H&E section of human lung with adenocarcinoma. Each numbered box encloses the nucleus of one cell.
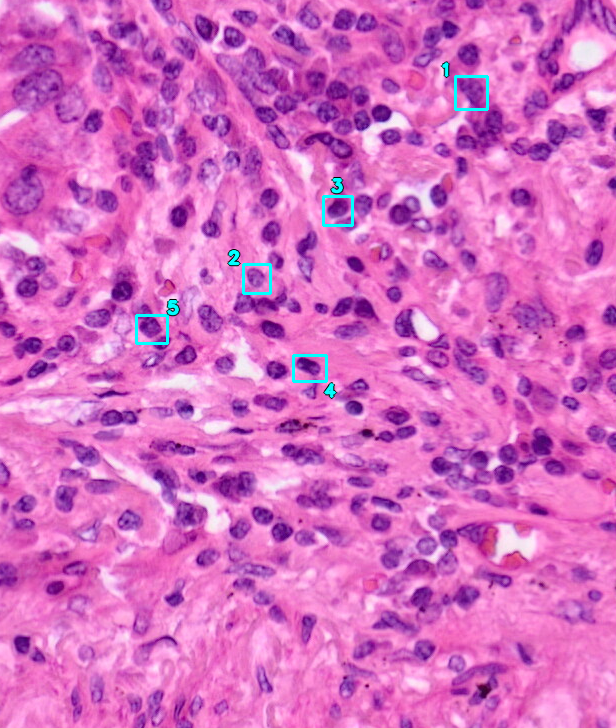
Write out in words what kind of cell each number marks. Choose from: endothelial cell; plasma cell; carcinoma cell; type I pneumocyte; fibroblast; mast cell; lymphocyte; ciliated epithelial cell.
Cell 1 is a plasma cell, cell 2 is a lymphocyte, cell 3 is a plasma cell, cell 4 is a lymphocyte and cell 5 is a lymphocyte.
